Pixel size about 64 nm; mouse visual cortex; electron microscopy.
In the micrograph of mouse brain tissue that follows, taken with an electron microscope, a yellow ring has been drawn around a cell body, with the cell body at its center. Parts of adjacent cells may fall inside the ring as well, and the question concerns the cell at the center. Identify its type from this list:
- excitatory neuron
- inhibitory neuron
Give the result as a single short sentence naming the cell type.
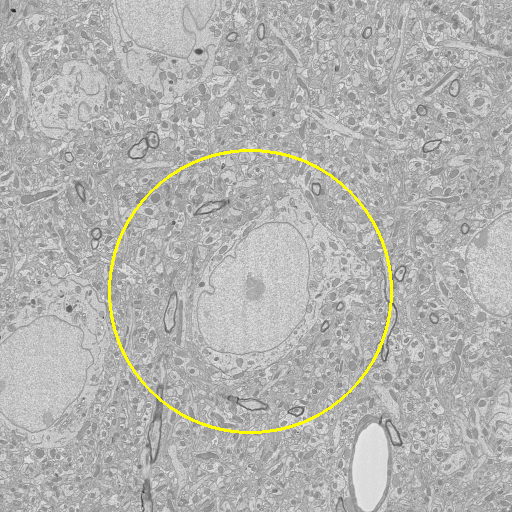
The ring is centered on an excitatory neuron.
